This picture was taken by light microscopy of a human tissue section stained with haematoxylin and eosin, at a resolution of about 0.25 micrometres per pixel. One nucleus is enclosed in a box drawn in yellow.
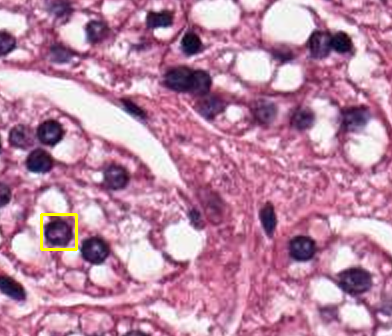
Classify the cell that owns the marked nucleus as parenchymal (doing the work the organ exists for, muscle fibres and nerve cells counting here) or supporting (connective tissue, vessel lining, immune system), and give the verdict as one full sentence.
The marked nucleus belongs to a parenchymal cell, and this cell is an adrenal cortical cell.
